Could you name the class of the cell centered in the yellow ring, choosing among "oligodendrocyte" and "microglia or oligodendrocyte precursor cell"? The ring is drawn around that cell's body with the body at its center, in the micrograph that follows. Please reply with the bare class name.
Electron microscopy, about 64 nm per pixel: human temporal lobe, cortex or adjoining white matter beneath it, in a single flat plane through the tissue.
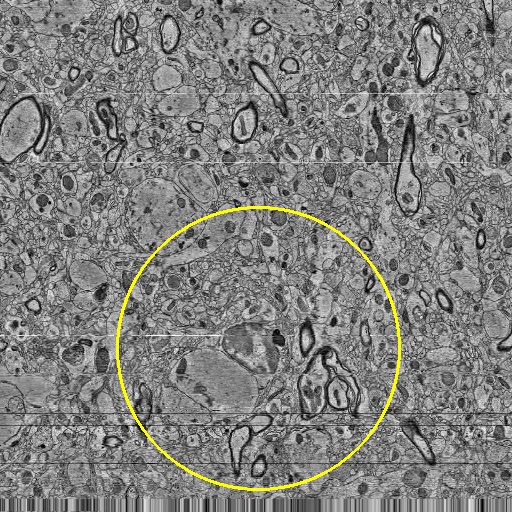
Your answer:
microglia or oligodendrocyte precursor cell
